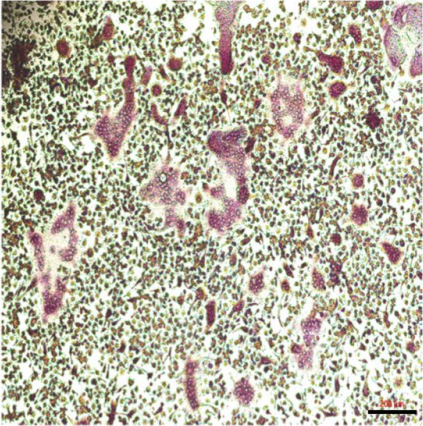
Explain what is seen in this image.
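Several osteoclasts are big, spread and irregularly shaped, some elongated or branching, with groups of pale round nuclei clearly visible inside their red cytoplasm. Smaller red cells, some spindle- or star-shaped, lie between them. The largest cells occupy areas many times the size of a single background cell, and their borders are uneven.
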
